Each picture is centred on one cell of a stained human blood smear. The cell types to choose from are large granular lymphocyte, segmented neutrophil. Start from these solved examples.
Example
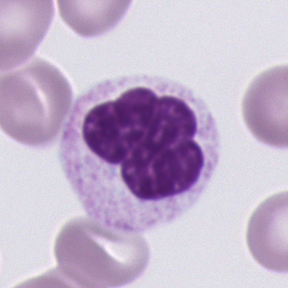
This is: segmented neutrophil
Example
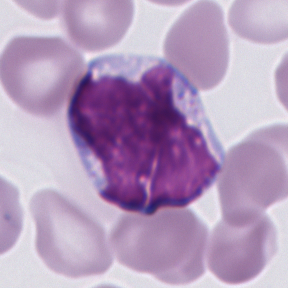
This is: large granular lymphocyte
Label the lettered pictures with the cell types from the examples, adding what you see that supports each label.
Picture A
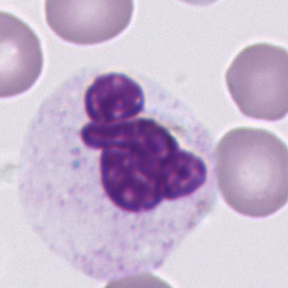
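segmented neutrophil. Evidence: The cytoplasm is abundant around the nucleus.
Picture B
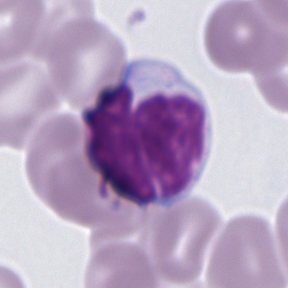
large granular lymphocyte. Evidence: The nucleus fills most of the cell.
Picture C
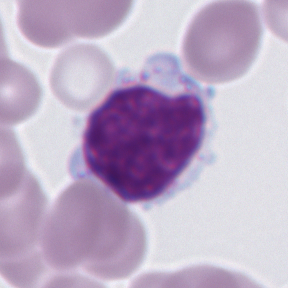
large granular lymphocyte. Evidence: The cytoplasm is a scant rim that is widest above the nucleus.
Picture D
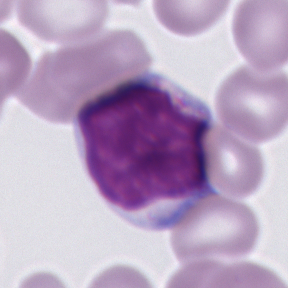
large granular lymphocyte. Evidence: The cytoplasm forms a narrow rim that is widest below the nucleus.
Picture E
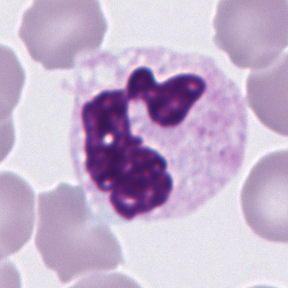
segmented neutrophil. Evidence: The cytoplasm is plentiful and pale pinkish-lilac.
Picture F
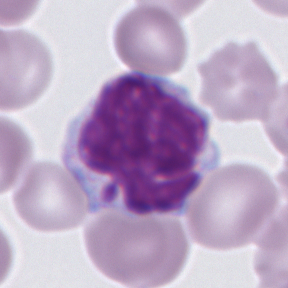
large granular lymphocyte. Evidence: The cytoplasm forms only a thin pale blue-grey rim around the nucleus.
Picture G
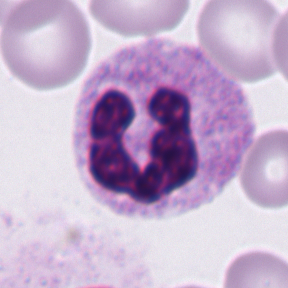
segmented neutrophil. Evidence: The cytoplasm is abundant and pale pinkish-lilac.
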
